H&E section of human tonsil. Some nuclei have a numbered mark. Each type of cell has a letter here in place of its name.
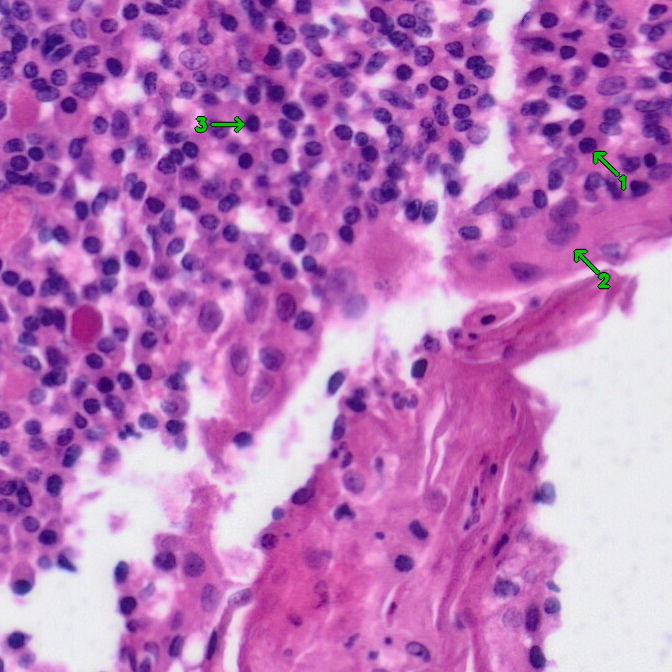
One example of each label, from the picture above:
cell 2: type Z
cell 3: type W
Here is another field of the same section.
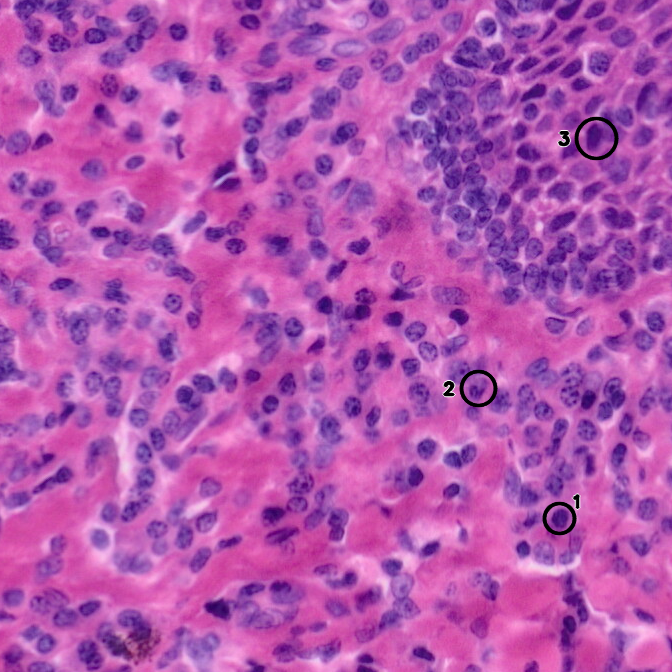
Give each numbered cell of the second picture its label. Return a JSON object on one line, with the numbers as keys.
{"1": "type W", "2": "type W", "3": "type Z"}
